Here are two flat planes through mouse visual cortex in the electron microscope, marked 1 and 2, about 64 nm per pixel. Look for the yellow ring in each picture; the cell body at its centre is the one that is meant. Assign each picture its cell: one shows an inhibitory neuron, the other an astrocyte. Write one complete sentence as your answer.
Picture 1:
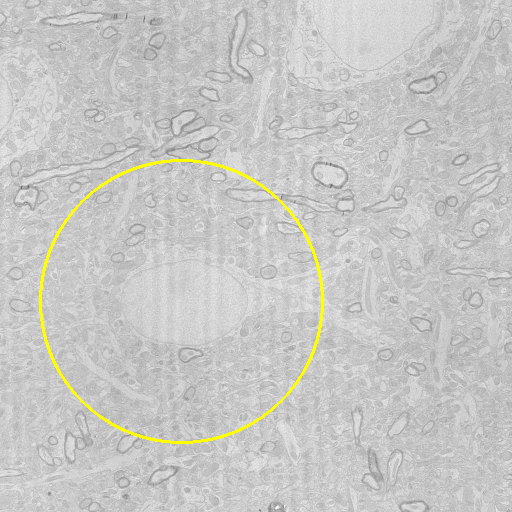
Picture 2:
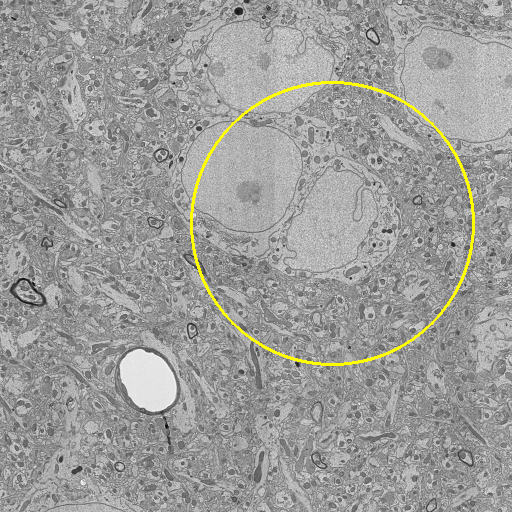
Picture 2 shows an inhibitory neuron, while picture 1 shows an astrocyte.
